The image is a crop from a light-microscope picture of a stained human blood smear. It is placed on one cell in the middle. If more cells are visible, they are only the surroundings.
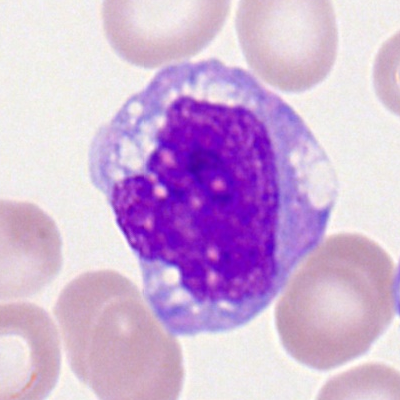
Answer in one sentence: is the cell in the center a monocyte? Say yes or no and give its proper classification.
Yes, a monocyte occupies the middle of the crop.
